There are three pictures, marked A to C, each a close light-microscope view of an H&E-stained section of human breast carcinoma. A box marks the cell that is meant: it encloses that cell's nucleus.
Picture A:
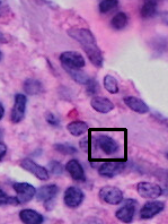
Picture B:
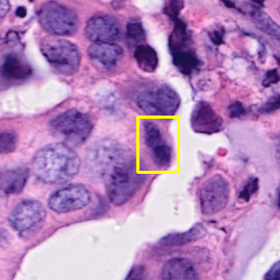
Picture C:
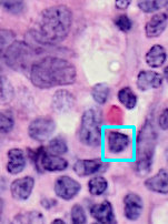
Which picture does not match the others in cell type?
B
